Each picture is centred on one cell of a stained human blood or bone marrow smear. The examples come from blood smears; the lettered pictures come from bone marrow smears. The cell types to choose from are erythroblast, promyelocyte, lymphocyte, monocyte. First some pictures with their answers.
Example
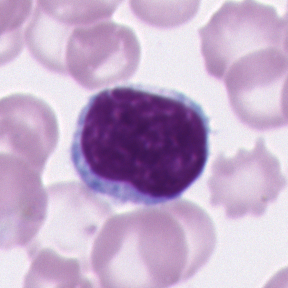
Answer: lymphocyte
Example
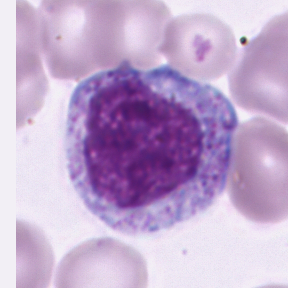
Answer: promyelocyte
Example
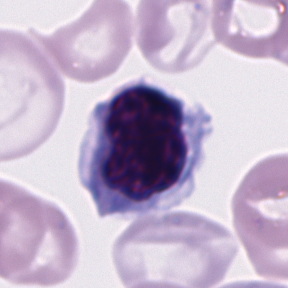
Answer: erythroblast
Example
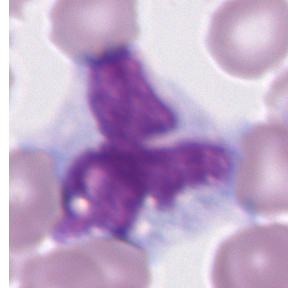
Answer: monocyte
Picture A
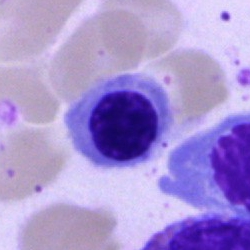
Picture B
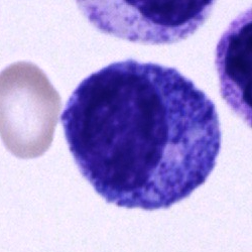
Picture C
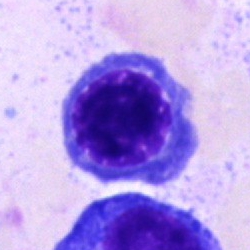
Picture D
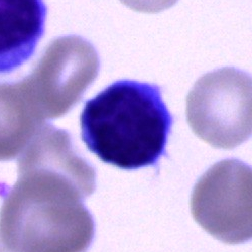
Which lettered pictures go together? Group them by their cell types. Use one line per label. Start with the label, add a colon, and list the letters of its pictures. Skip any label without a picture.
erythroblast: A, C
promyelocyte: B
lymphocyte: D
